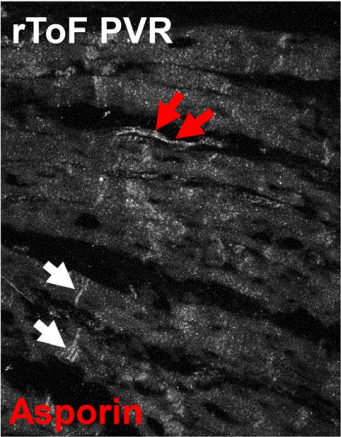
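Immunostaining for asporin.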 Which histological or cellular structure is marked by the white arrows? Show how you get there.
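The white arrows point to short bright bands crossing the fibres. The bands are oriented across the fibre length.
Hence: intercalated disc.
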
